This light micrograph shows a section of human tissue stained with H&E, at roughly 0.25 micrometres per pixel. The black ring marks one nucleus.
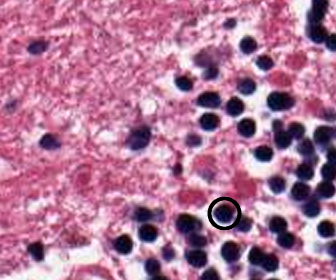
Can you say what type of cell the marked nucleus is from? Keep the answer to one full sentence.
The marked nucleus is part of a cerebellar granule cell.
